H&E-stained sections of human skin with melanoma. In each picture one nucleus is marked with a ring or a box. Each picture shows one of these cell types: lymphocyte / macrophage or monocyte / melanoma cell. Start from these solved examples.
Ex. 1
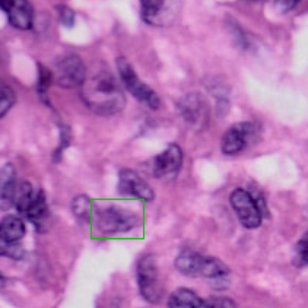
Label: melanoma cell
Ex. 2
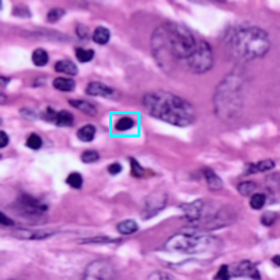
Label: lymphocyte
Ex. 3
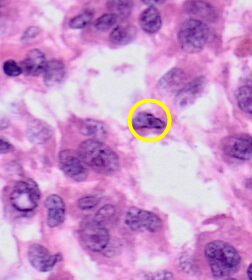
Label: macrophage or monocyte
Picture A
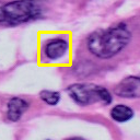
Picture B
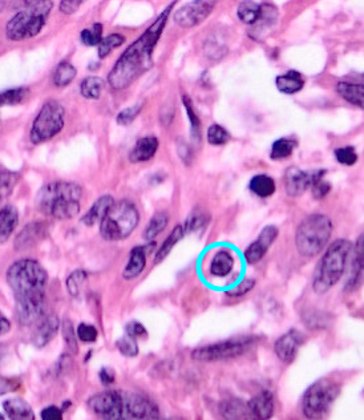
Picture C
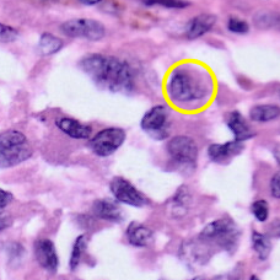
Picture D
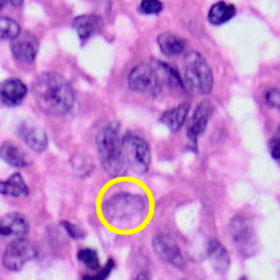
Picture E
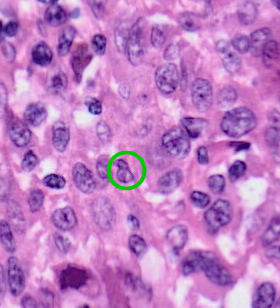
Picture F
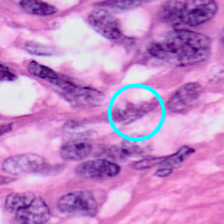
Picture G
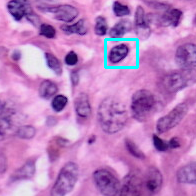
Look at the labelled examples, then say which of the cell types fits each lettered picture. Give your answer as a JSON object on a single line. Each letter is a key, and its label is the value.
{"A": "macrophage or monocyte", "B": "lymphocyte", "C": "melanoma cell", "D": "melanoma cell", "E": "macrophage or monocyte", "F": "melanoma cell", "G": "lymphocyte"}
